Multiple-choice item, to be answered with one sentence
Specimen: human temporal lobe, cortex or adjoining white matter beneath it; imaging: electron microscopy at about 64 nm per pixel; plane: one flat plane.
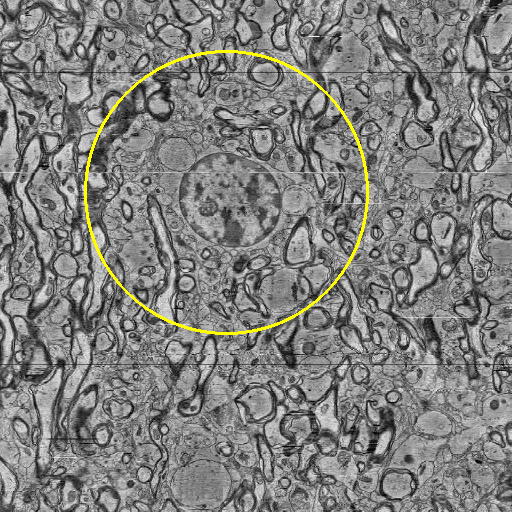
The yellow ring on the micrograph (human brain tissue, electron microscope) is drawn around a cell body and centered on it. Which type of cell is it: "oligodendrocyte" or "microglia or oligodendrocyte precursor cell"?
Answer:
The ring is centered on a microglial cell or oligodendrocyte precursor cell.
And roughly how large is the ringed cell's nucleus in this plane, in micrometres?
The nucleus is about 6 micrometres across in this plane.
